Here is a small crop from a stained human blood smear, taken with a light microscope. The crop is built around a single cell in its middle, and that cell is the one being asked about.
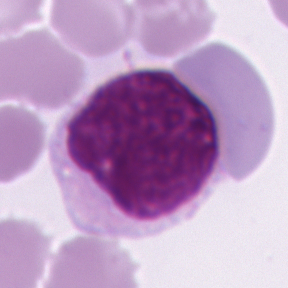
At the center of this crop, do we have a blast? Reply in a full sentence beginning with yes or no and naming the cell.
Yes, the cell of interest in the centre is a blast.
